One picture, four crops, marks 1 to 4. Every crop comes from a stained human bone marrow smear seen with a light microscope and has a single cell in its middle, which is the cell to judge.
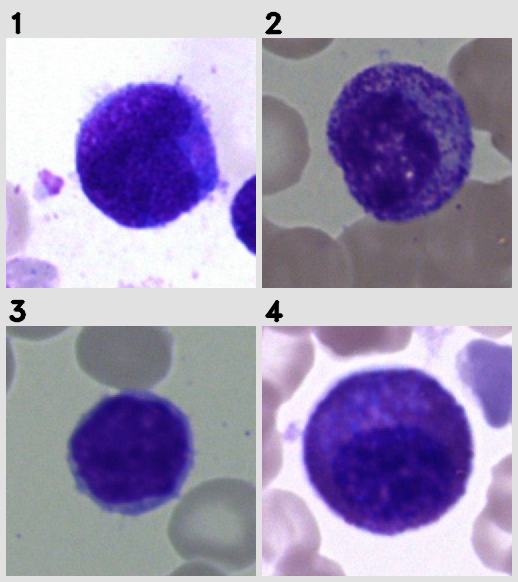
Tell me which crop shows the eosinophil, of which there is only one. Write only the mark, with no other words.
4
